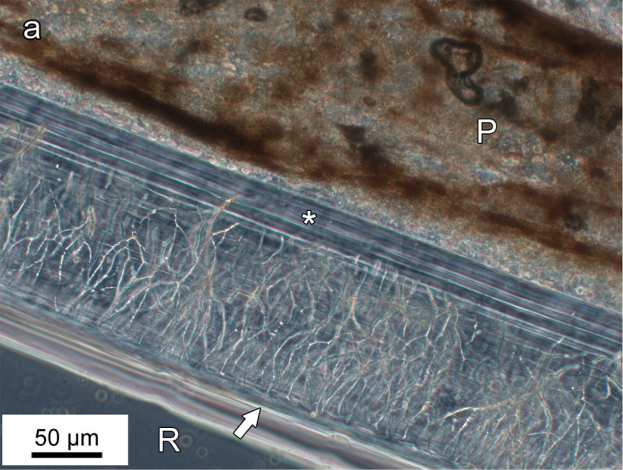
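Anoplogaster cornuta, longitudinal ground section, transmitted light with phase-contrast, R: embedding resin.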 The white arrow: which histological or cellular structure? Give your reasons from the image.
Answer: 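Tooth surface. The arrow points to the outer edge of the tooth wall. A bright band separates this edge from the surrounding resin.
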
